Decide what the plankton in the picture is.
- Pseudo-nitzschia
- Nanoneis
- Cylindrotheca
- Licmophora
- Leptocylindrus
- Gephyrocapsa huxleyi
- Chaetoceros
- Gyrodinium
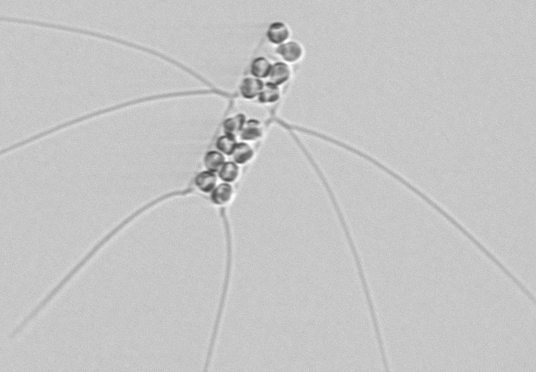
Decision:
Chaetoceros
